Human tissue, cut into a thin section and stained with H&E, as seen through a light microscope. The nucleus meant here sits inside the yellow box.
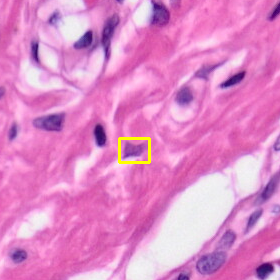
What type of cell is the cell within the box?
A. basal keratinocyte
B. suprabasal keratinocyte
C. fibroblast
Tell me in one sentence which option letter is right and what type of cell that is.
Under option C, the cell within the box is listed as a fibroblast, which is correct.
